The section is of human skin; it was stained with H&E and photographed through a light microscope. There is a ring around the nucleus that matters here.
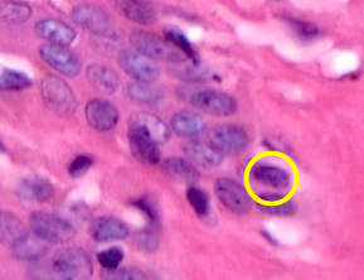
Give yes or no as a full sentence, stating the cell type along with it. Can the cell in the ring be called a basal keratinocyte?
Yes, the statement that the cell in the ring is a basal keratinocyte is correct.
